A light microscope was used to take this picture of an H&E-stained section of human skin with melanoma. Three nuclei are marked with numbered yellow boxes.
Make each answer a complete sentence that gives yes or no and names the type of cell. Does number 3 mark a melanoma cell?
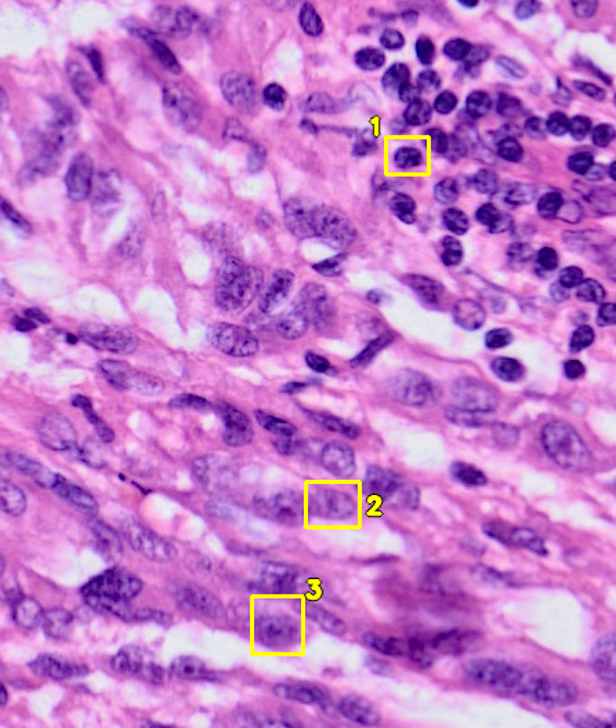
Yes, the cell tagged with number 3 is a melanoma cell.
